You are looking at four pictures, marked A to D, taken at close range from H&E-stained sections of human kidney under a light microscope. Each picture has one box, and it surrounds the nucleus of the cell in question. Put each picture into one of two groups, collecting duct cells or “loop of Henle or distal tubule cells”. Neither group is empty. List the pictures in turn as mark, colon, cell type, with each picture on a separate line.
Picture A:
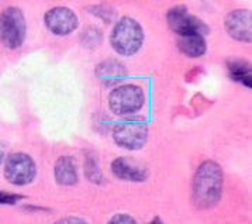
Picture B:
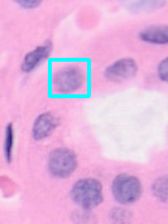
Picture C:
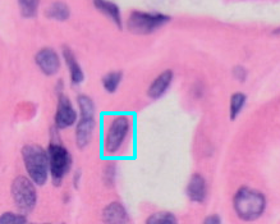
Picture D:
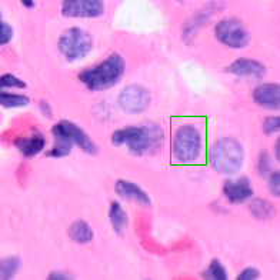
A: collecting duct cell
B: collecting duct cell
C: loop of Henle or distal tubule cell
D: collecting duct cell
